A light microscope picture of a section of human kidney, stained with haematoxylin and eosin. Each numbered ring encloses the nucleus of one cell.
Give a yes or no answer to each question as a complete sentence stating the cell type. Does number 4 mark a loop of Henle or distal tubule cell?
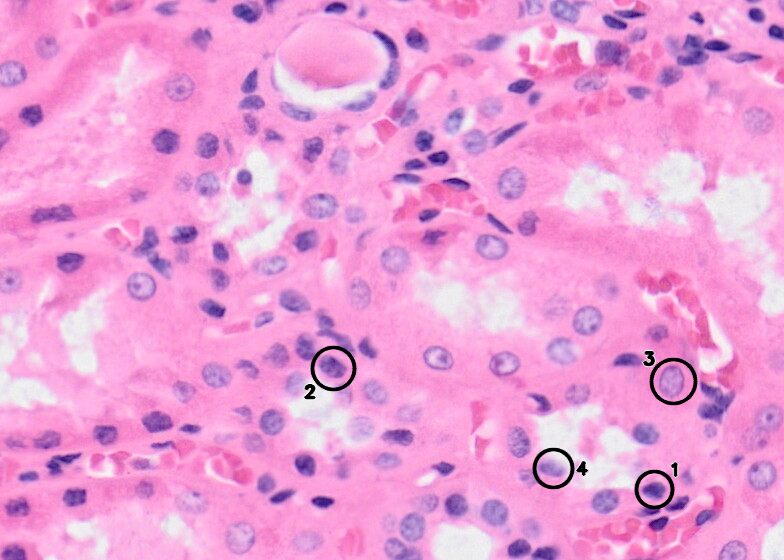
Yes, the cell pointed out as number 4 is a loop of Henle or distal tubule cell.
